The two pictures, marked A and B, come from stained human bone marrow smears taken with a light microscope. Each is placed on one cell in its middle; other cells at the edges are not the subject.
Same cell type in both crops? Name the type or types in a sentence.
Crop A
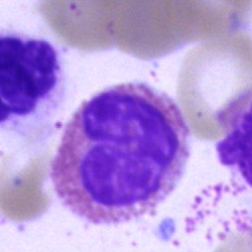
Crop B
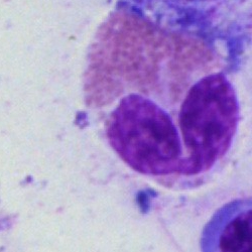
Yes, shown in both crops are eosinophils.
